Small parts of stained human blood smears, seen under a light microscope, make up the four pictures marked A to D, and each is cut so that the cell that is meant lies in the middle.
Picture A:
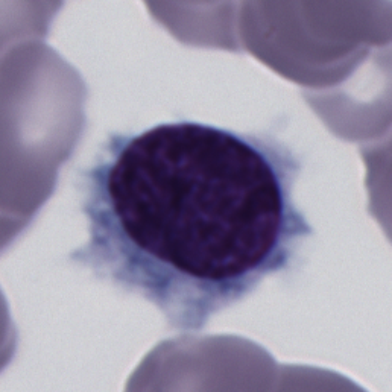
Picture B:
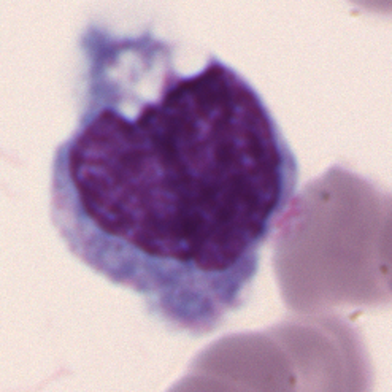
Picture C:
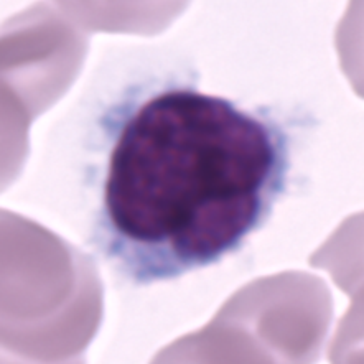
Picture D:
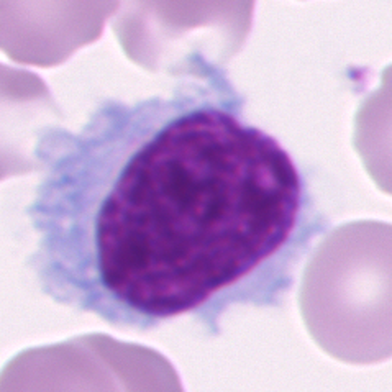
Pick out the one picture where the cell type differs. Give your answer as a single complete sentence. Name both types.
Picture B is the odd one out: it shows a monocyte, while the others show hairy cells.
